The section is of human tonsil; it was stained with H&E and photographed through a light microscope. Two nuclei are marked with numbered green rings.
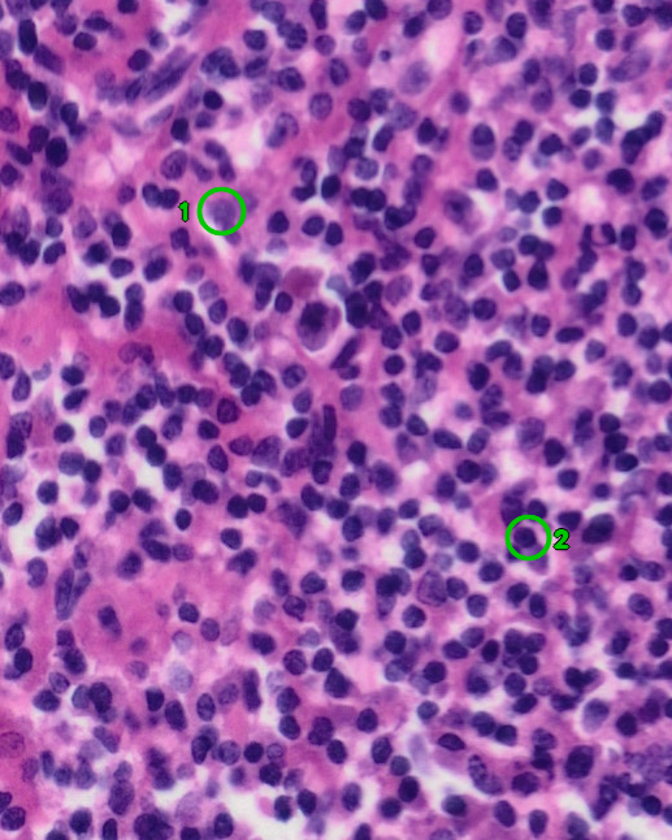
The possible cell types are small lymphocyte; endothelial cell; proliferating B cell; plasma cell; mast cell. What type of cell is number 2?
small lymphocyte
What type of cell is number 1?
endothelial cell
